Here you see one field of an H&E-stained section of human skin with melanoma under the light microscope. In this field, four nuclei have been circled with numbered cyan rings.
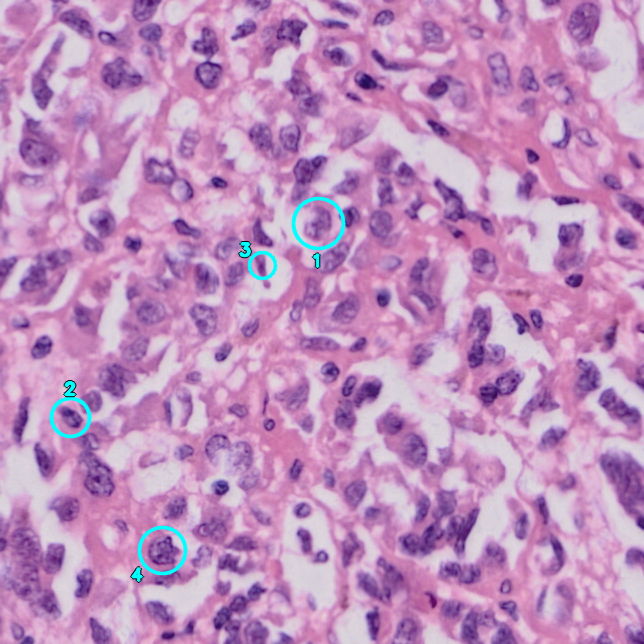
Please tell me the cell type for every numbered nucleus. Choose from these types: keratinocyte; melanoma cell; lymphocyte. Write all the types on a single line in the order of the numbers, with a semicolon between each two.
melanoma cell; lymphocyte; melanoma cell; melanoma cell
